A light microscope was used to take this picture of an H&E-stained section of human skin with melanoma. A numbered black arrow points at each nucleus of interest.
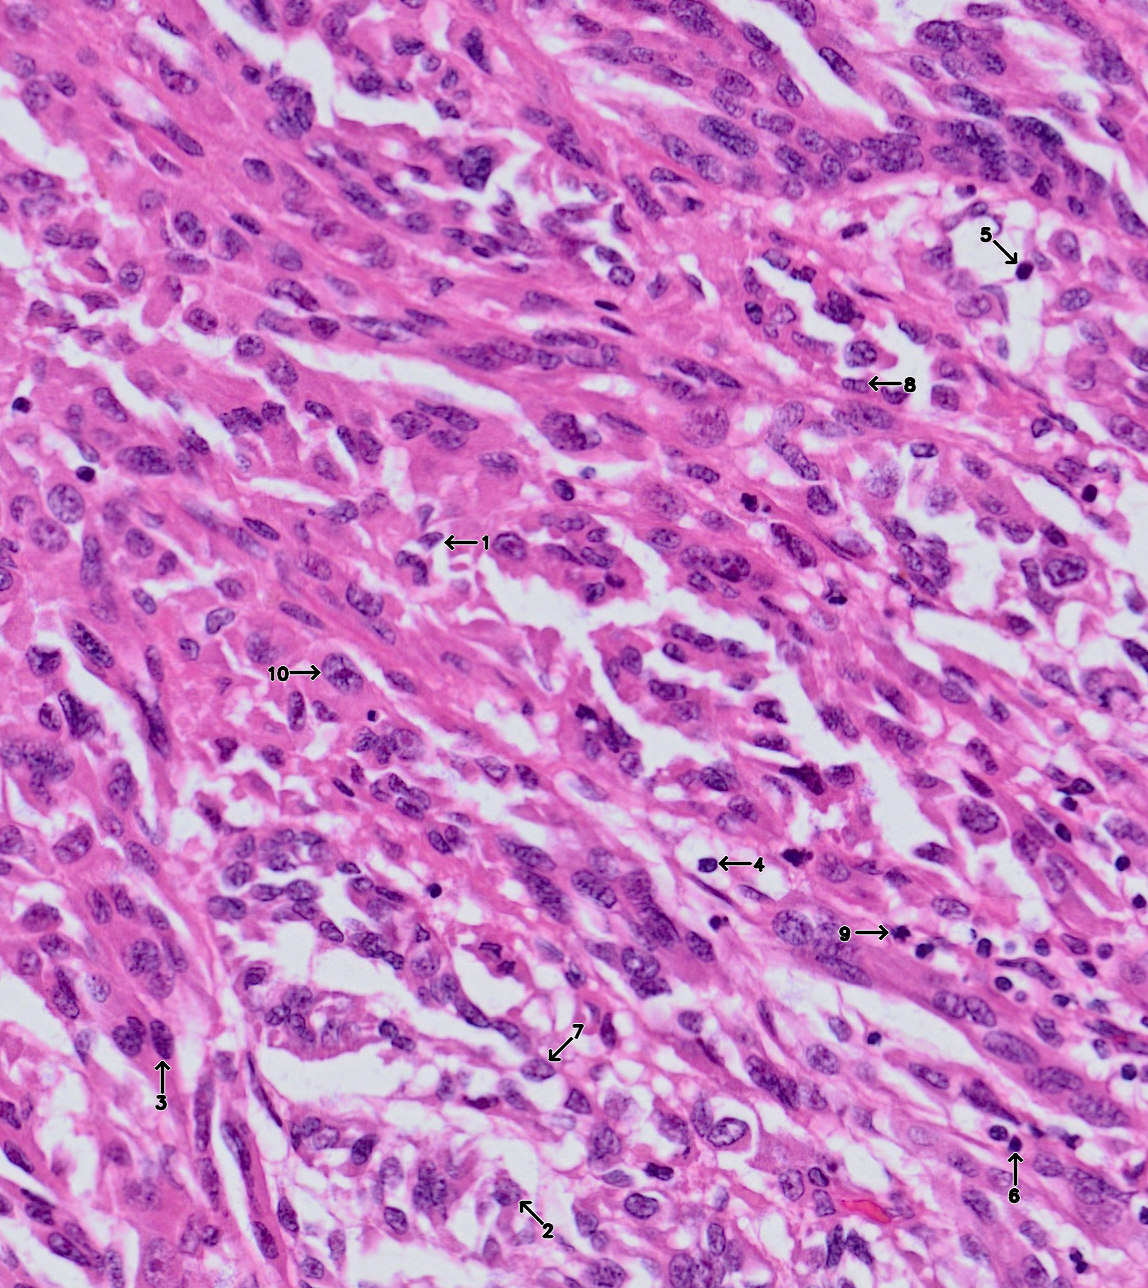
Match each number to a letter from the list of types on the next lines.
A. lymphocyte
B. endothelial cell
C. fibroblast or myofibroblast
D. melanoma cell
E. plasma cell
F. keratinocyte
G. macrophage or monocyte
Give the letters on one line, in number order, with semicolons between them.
D; D; D; A; A; A; D; D; A; D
